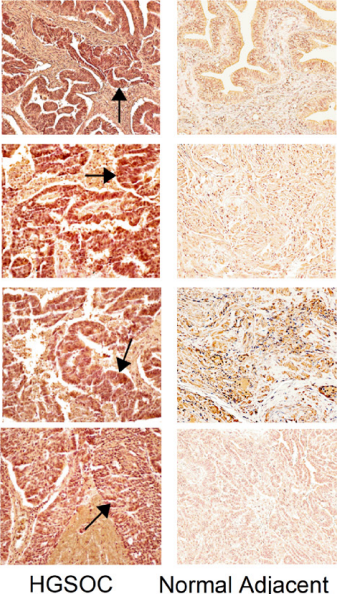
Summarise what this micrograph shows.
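The left column shows carcinoma tissue whose crowded epithelial parenchyma forms branching papillary fronds and solid sheets, stained a dense reddish brown. Paler fibrous stromal areas lie between these tumor masses.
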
